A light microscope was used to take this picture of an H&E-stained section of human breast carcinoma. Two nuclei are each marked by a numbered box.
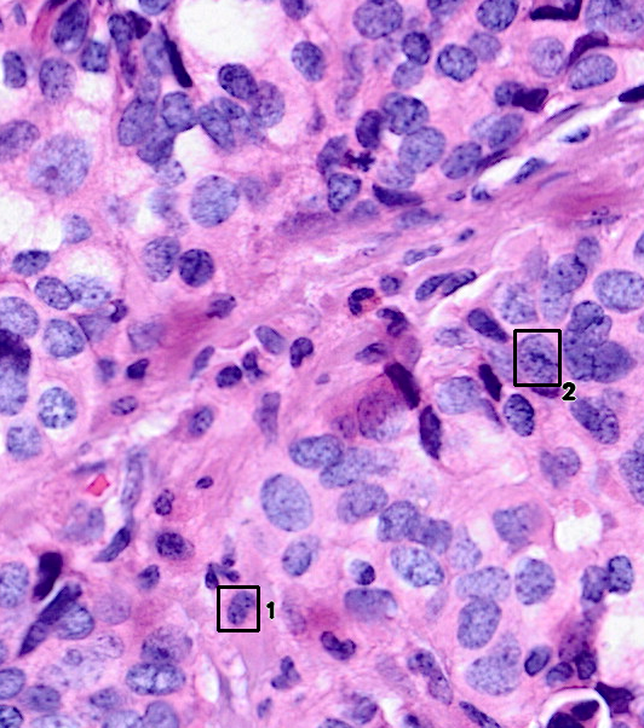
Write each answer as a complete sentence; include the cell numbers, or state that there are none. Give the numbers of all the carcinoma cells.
The sole numbered cell that is a carcinoma cell is cell 2.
